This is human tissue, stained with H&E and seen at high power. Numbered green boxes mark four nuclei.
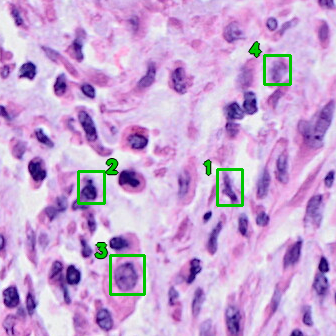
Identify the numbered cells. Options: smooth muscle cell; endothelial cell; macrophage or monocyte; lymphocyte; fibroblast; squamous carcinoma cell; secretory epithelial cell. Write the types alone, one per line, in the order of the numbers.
fibroblast
lymphocyte
macrophage or monocyte
fibroblast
